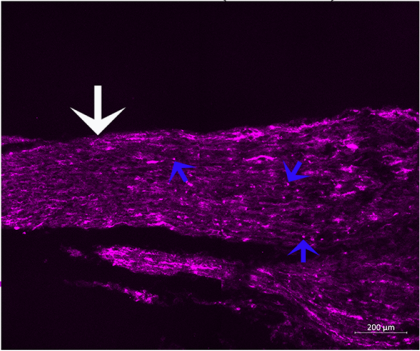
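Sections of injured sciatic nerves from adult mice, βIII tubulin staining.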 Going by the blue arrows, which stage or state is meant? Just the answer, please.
Degenerated.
